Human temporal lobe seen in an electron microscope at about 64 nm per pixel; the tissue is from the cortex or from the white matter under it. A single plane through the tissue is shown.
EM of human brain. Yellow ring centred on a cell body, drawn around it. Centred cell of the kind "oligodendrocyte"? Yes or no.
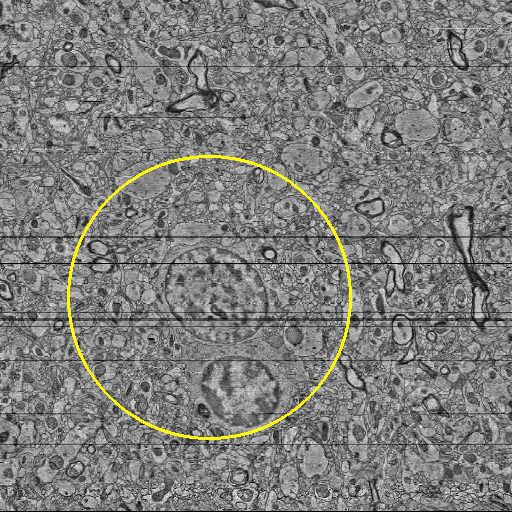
yes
